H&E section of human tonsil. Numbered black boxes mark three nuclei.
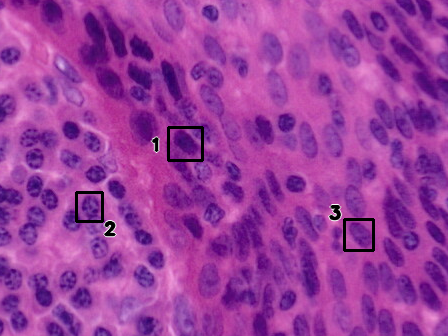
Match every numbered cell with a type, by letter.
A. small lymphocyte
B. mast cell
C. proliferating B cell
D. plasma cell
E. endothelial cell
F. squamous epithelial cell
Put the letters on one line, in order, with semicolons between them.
F; D; F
